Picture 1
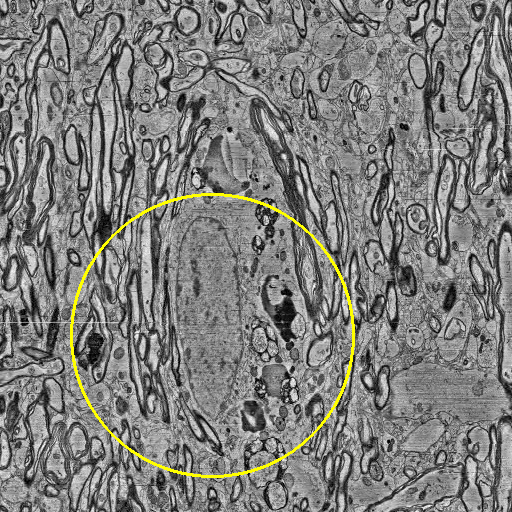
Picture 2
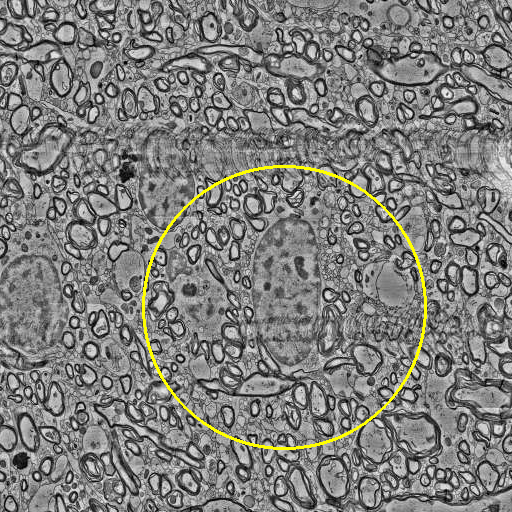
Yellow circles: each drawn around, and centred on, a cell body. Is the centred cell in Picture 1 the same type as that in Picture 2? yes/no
no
